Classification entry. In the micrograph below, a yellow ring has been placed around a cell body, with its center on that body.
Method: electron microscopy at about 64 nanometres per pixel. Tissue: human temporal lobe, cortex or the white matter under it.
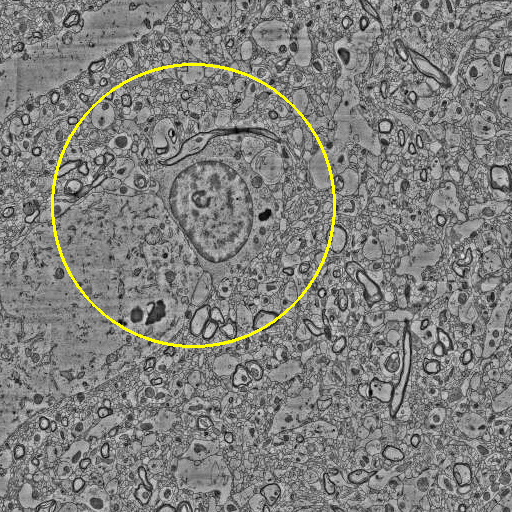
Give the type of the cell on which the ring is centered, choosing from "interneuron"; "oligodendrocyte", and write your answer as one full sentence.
The cell body at the center of the yellow ring belongs to an oligodendrocyte.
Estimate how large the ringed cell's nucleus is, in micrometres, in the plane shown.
About 7 by 5 micrometers, in this plane.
